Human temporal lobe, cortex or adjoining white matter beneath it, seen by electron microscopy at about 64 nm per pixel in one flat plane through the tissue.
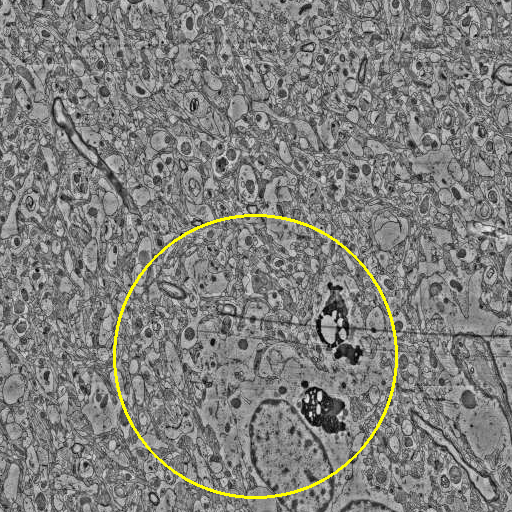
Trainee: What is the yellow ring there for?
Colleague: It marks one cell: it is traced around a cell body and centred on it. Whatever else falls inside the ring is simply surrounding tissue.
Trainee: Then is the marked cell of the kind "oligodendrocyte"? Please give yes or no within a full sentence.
No, the marked cell at the centre of the yellow ring is of a different kind.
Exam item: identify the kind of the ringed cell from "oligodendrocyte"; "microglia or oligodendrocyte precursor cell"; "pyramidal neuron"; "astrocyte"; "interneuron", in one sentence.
So the cell at the centre is an astrocyte.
